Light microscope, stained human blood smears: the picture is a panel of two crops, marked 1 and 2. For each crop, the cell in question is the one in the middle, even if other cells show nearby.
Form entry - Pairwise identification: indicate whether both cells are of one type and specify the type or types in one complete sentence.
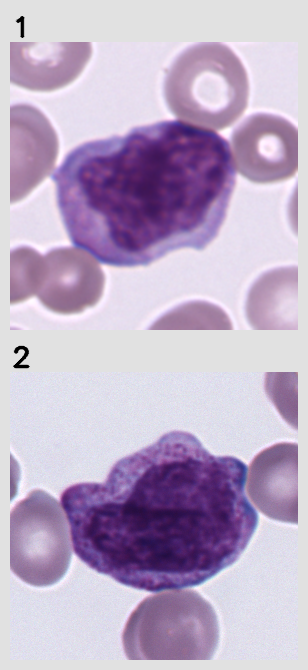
Yes, the cells at the centre of the two crops are both atypical promyelocytes.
